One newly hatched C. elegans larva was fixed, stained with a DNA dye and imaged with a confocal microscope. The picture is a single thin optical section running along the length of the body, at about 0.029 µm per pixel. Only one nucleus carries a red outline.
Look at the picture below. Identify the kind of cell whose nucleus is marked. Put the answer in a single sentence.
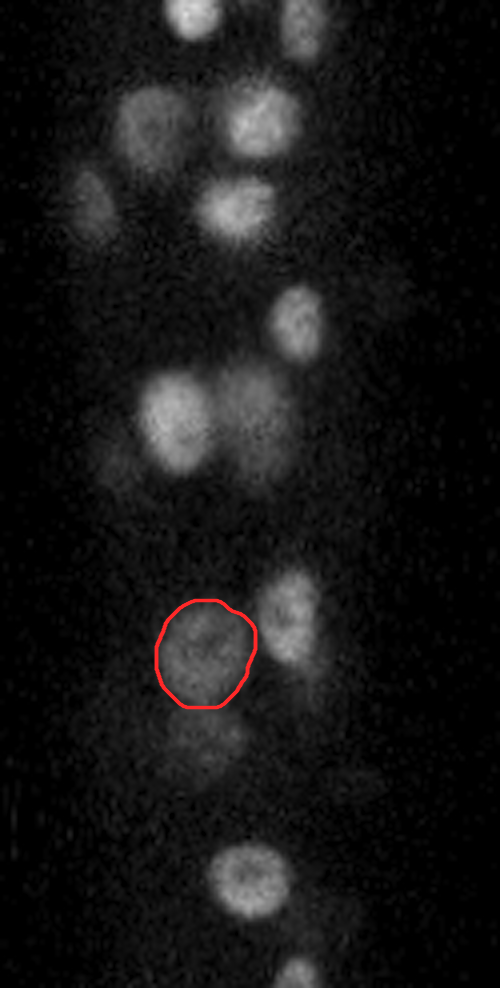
The marked cell is a hypodermal cell (hyp).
